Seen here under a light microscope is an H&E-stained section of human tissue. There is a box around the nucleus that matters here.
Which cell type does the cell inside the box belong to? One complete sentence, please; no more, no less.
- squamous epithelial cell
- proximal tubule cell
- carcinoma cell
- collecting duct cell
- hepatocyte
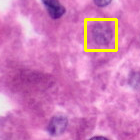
On this particular slide, the cell inside the box is a hepatocyte.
